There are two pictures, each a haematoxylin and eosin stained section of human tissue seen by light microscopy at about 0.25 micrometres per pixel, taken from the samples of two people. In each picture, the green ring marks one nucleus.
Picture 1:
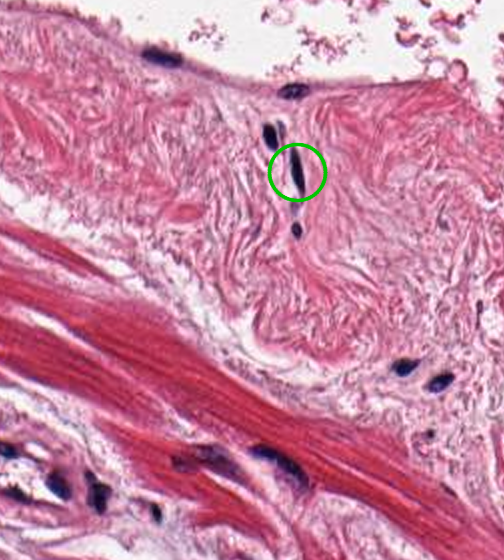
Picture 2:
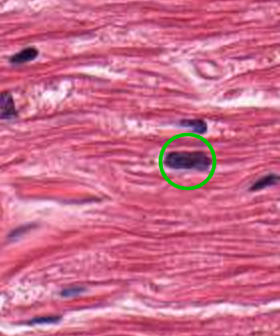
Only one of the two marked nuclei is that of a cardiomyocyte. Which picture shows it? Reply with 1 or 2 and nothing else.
2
